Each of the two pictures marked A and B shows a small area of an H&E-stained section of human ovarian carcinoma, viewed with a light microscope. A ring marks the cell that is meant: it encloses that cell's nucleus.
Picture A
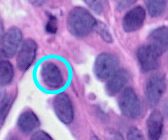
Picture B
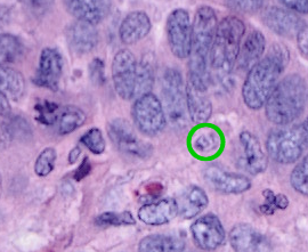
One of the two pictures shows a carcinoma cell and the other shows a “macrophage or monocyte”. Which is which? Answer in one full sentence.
Picture B shows a “macrophage or monocyte”, while picture A shows a carcinoma cell.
